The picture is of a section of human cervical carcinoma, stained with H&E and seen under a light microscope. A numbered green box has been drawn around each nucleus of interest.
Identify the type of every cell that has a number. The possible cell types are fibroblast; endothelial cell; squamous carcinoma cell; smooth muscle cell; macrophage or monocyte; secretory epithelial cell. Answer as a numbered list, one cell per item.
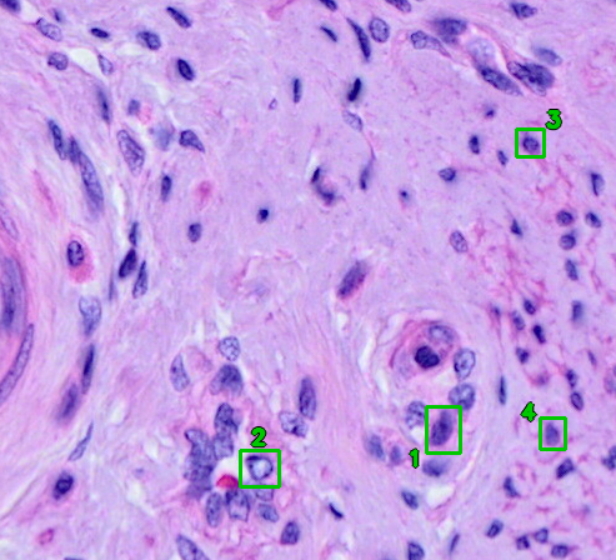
1. endothelial cell
2. endothelial cell
3. smooth muscle cell
4. smooth muscle cell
